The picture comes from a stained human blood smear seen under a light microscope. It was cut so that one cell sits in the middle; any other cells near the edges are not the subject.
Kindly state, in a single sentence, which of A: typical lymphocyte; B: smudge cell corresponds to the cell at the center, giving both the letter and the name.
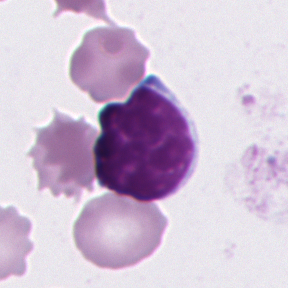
Option A is the correct option, with the middle cell being a typical lymphocyte.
